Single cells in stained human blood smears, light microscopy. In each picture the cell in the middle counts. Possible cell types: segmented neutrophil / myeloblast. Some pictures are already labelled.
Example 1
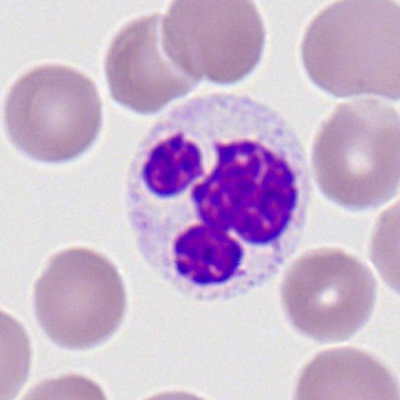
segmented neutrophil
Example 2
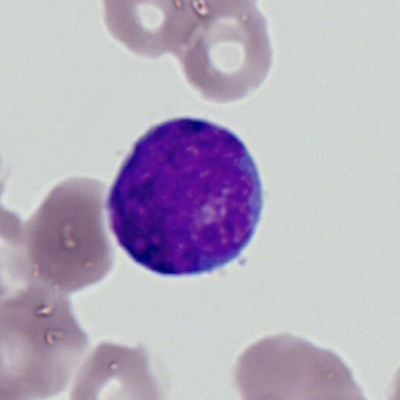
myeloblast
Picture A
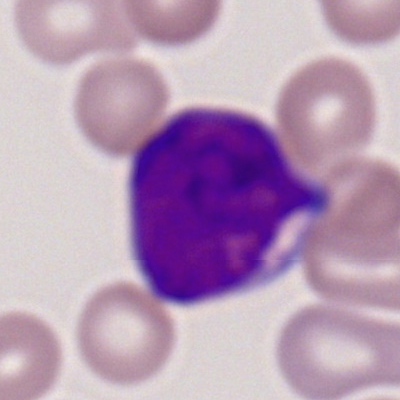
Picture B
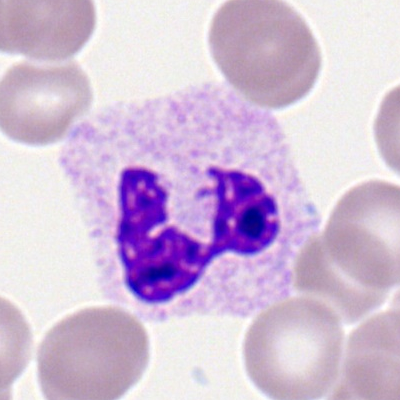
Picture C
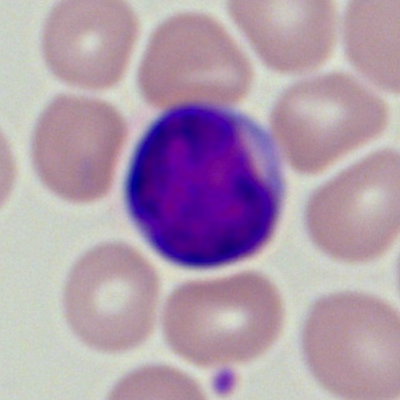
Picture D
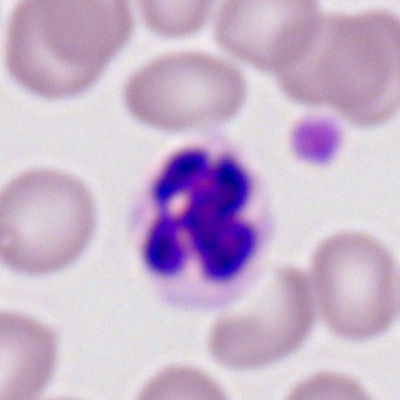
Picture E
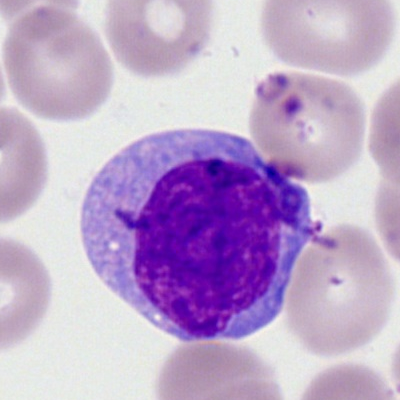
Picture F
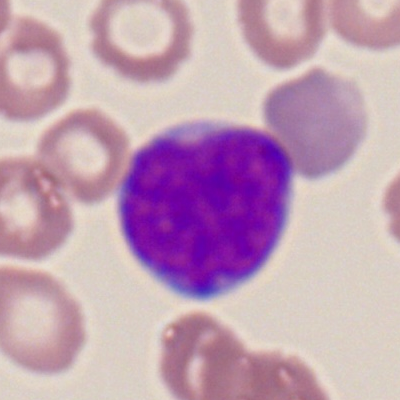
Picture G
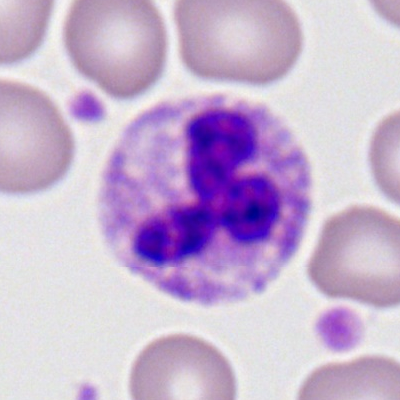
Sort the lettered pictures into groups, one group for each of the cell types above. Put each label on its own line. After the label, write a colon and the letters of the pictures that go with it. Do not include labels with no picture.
segmented neutrophil: B, D, G
myeloblast: A, C, E, F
